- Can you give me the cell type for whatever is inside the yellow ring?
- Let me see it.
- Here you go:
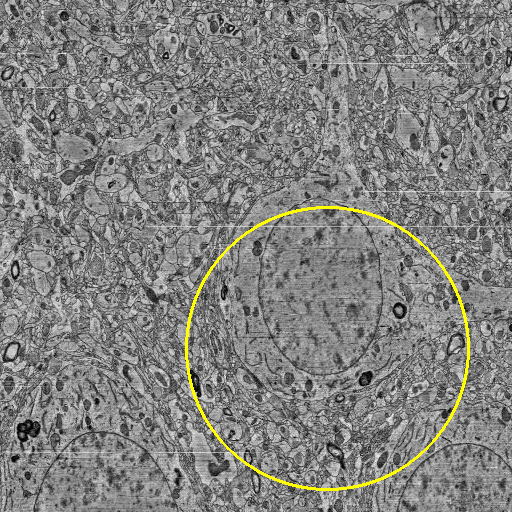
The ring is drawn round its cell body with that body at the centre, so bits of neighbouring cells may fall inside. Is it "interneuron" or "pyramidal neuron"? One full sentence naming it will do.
The cell body in the middle of the ring in this picture belongs to a pyramidal neuron.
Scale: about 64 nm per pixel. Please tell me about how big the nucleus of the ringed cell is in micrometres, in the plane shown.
About 12 by 8 micrometers, in this plane.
